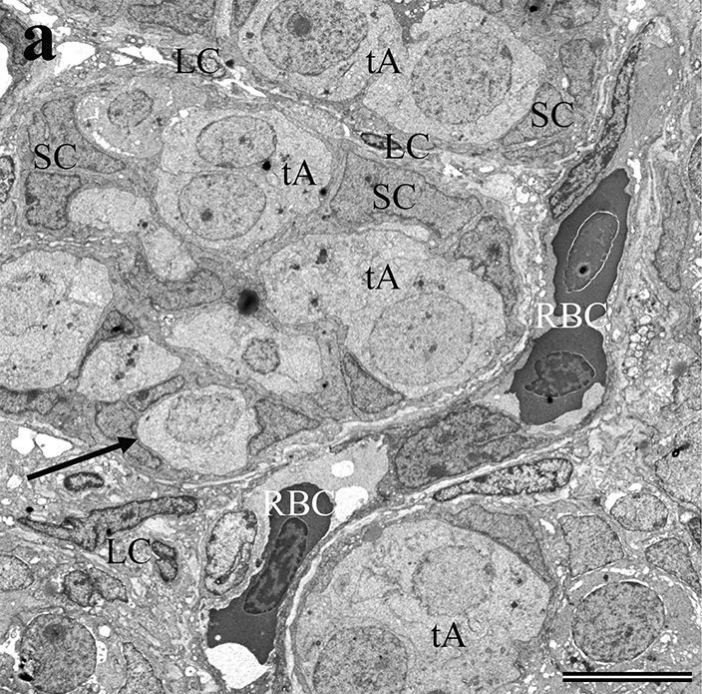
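This electron micrograph of testis shows several developing seminiferous tubules, cut across, with interstitial tissue between them. Within each tubule lie large, pale, rounded type A spermatogonia with big round nuclei and small dark nucleoli, enclosed by smaller, darker Sertoli cells with irregular nuclei. Each tubule is bounded by a thin layered wall, and no lumen is open.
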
